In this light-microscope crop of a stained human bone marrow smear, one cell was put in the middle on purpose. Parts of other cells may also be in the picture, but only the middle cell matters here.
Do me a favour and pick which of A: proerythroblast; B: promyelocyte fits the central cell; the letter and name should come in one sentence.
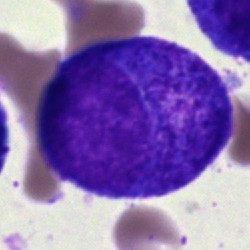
Option B is correct, and the cell in the centre is a promyelocyte.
